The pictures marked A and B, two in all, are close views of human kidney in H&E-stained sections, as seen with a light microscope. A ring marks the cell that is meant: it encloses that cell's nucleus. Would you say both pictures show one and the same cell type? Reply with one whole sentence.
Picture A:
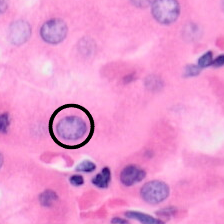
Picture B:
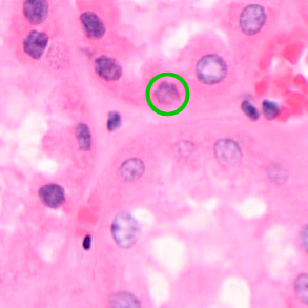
Yes, the two pictures both show proximal tubule cells.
